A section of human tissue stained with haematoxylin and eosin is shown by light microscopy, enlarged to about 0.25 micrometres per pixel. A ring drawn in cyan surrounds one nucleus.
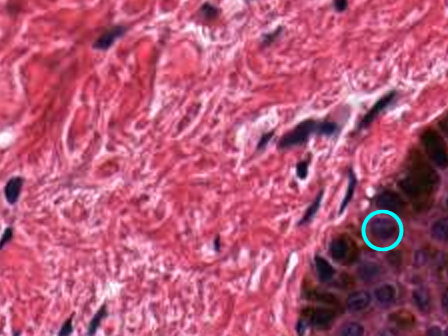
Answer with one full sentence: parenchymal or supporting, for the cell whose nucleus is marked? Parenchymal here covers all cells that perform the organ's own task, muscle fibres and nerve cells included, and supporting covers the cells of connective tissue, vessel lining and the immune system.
The parenchymal cell to which the marked nucleus belongs is a keratinocyte.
